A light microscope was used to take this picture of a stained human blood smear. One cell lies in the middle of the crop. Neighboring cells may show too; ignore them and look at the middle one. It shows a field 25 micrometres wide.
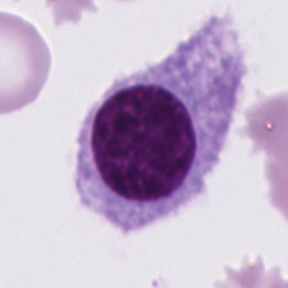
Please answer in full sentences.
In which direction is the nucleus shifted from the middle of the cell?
The nucleus lies toward the lower left of the cell.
